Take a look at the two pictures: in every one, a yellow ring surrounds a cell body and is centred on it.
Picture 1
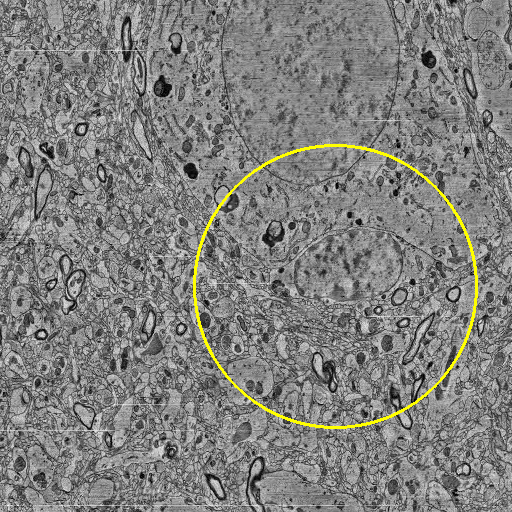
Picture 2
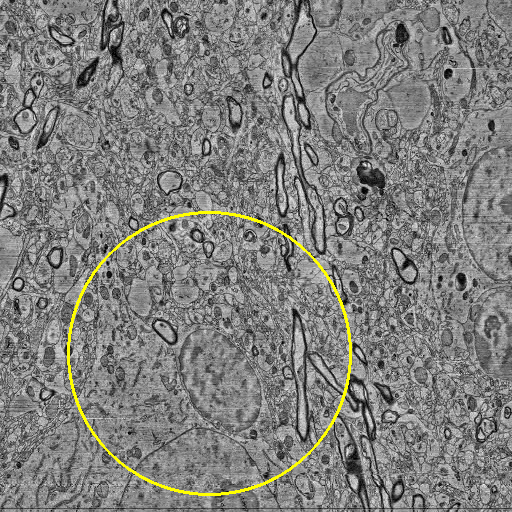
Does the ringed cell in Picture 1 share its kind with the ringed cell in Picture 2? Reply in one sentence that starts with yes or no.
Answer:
No, the two centred cells, one per picture, are of two kinds.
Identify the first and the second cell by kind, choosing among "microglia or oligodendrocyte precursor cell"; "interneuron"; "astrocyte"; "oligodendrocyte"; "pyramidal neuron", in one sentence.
The one in the first picture is a microglial cell or oligodendrocyte precursor cell, while the one in the second is an oligodendrocyte.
